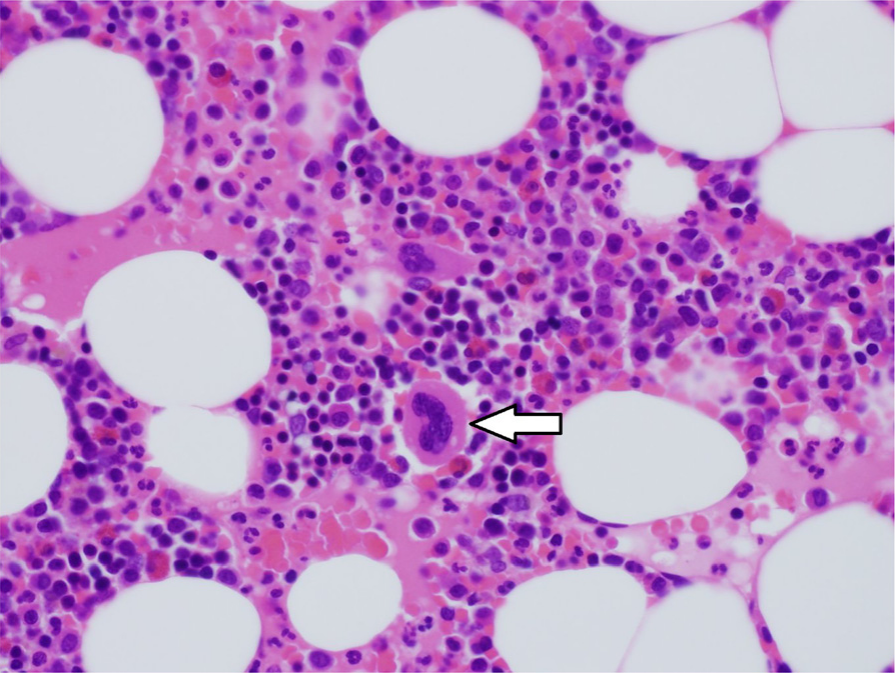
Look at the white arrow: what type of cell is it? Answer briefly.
Megakaryocytes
